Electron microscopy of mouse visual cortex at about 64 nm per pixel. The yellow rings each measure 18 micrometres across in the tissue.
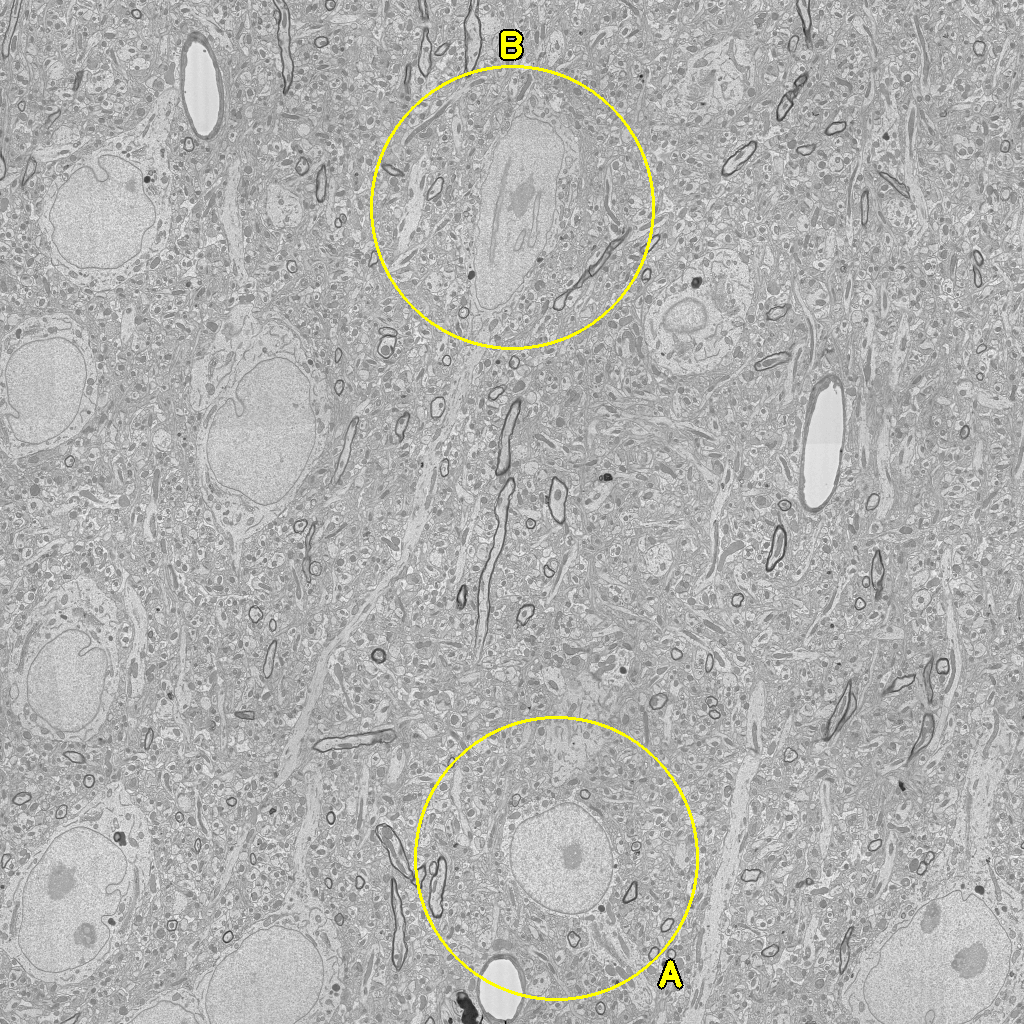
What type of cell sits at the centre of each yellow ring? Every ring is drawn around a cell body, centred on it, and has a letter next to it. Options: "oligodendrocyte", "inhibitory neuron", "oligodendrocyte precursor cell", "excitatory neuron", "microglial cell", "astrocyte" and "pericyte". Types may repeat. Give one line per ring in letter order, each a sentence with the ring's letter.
Ring A has an astrocyte at its centre.
Ring B has an inhibitory neuron at its centre.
